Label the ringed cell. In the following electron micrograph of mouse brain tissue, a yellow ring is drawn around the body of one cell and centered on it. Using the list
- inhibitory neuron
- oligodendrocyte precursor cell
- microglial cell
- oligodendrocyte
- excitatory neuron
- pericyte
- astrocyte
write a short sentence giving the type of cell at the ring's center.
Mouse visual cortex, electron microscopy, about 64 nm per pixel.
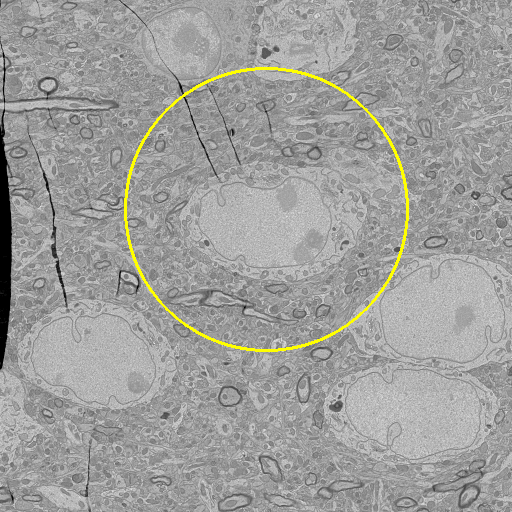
The cell body at the ring's center is that of an excitatory neuron.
